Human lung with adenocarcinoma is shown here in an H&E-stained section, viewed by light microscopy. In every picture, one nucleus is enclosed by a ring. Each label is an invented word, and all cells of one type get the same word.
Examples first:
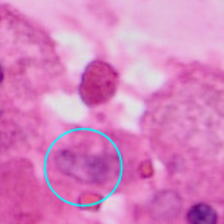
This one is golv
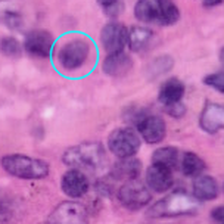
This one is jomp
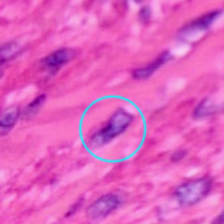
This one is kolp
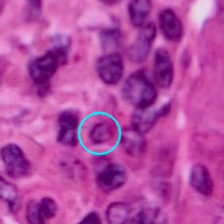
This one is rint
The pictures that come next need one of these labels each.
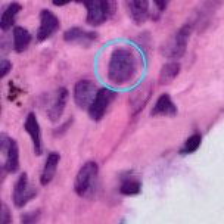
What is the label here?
jomp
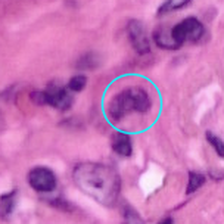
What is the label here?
rint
